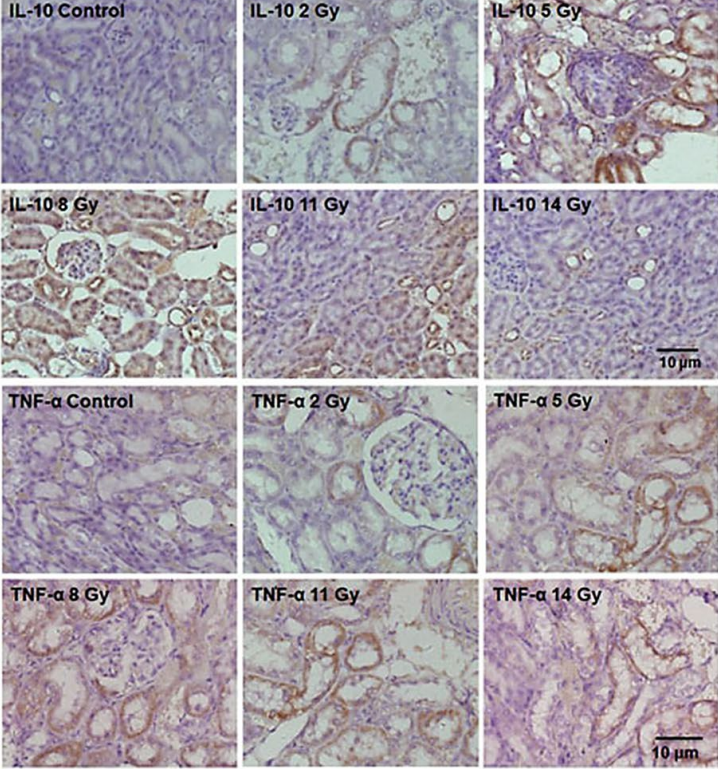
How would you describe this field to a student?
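These are sections of kidney cortex showing many renal tubules cut in cross and oblique section, with occasional glomeruli appearing as round tufts of densely packed nuclei. The tubules are lined by a single layer of cuboidal epithelial cells with round blue nuclei around open lumens, and brown staining lies in the tubular epithelium, strongest along the cell borders and lumens in some frames and nearly absent in others.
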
